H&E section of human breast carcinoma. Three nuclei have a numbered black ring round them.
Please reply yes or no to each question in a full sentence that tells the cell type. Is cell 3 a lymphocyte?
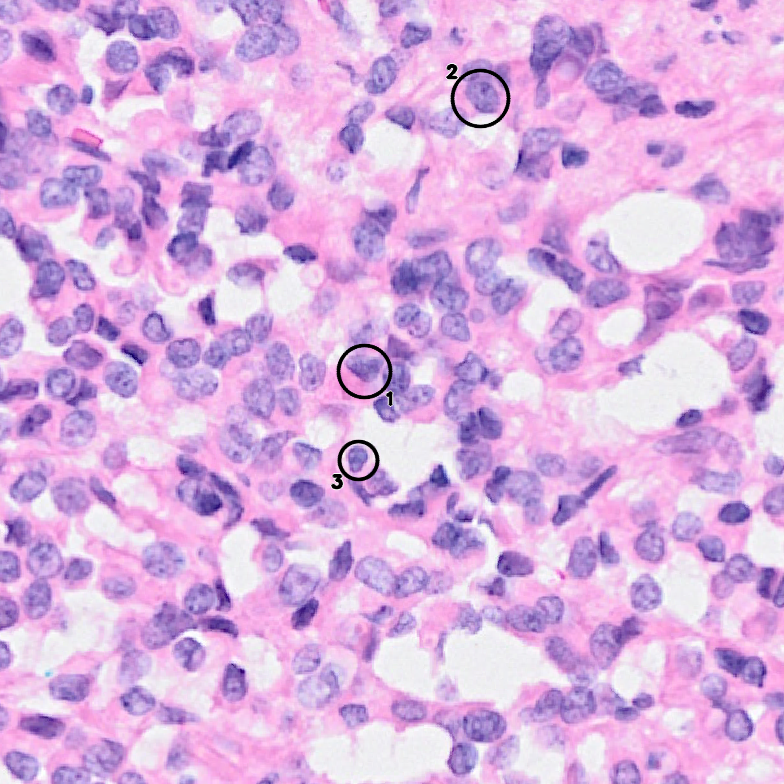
Yes, in this section the cell with number 3 is a lymphocyte.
